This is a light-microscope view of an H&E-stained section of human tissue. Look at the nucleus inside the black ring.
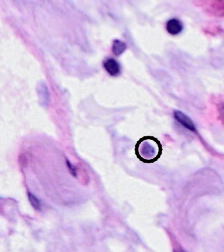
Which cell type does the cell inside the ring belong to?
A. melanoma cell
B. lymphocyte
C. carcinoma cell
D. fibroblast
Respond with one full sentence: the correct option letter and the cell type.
The statement that the cell inside the ring is a lymphocyte corresponds to option B, the correct one.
